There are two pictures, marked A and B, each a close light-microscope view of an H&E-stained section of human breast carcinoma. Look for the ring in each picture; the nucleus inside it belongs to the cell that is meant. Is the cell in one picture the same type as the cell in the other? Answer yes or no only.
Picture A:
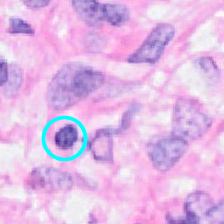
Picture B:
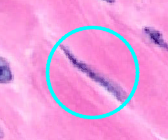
no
